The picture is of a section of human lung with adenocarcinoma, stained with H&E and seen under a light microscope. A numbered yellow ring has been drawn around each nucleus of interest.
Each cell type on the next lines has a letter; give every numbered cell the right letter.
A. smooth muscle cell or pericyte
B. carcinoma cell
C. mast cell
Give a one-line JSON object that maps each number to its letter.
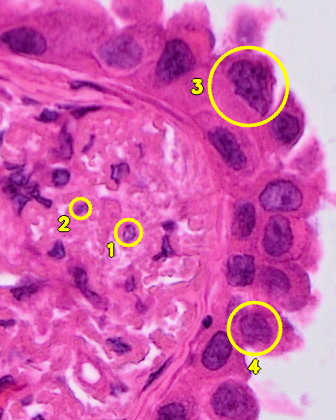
{"1": "C", "2": "A", "3": "B", "4": "B"}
